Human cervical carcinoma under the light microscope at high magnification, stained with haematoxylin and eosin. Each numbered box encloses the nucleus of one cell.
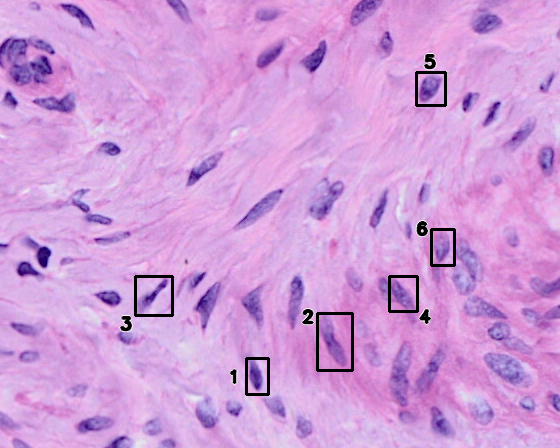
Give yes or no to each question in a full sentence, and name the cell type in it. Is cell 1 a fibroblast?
Yes, the marked cell number 1 is a fibroblast.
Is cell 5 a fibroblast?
Yes, number 5 corresponds to a fibroblast.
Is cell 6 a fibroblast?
No, number 6 marks a smooth muscle cell rather than a fibroblast.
